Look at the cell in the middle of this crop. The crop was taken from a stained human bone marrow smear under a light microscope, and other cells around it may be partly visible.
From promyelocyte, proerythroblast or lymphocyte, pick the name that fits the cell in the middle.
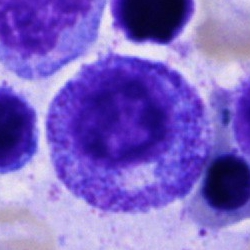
promyelocyte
